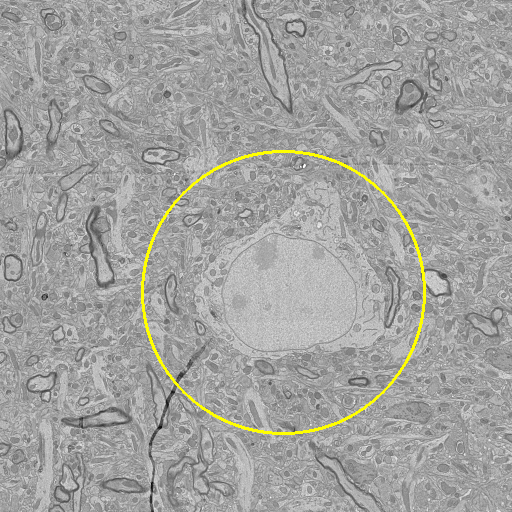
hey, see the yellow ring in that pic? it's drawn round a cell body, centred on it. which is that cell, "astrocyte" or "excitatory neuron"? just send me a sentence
The cell in the ring is an excitatory neuron.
